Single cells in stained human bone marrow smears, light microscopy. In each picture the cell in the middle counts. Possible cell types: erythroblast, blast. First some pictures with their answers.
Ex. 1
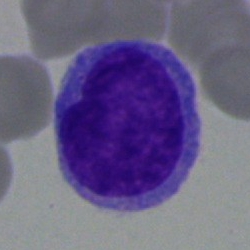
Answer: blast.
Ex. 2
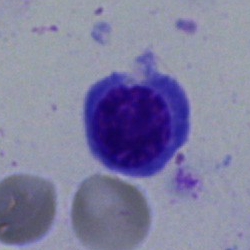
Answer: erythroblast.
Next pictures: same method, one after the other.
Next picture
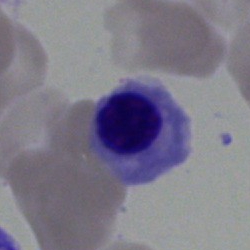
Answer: erythroblast.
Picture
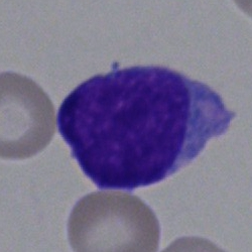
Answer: blast.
